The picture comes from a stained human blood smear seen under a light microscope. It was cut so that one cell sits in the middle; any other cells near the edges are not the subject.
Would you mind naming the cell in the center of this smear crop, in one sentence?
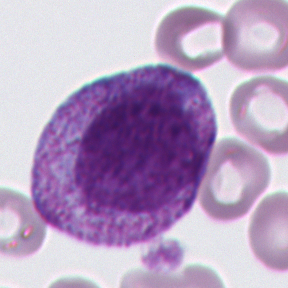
Positioned in the middle of the crop is an atypical promyelocyte.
